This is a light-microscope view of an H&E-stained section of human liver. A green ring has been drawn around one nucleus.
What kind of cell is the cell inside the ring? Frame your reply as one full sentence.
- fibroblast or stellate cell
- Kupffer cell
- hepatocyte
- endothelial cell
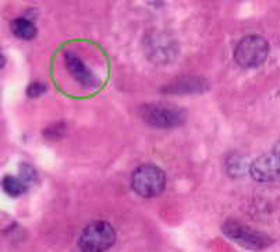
The identity of the cell inside the ring: it is a fibroblast or stellate cell.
